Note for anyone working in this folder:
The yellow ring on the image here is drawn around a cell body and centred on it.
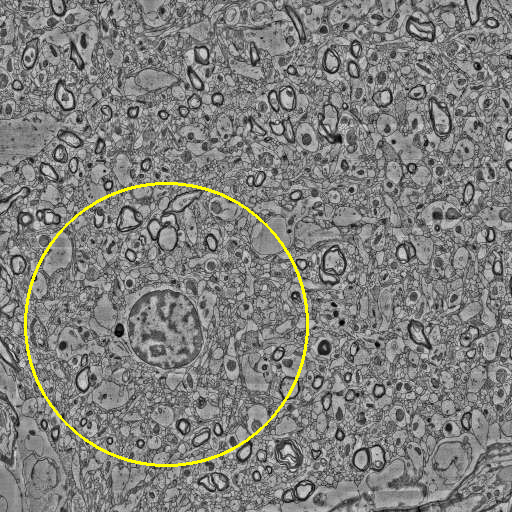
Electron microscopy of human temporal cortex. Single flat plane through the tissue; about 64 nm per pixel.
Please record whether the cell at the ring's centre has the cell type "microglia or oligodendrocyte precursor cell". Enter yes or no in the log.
yes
